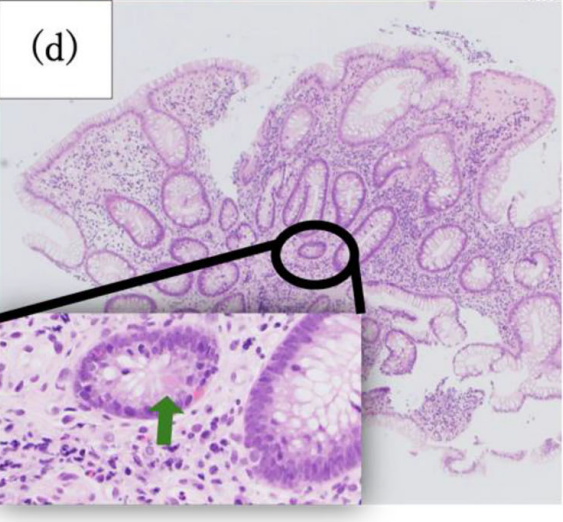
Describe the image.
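This is a fragment of colonic mucosa in which the crypts lie irregularly, varying in shape and spacing, with some cut obliquely or distorted instead of forming orderly parallel tubes. The lamina propria between them is densely crowded with small dark-purple nuclei of inflammatory cells. The crypts are lined by columnar epithelium with basal nuclei and pale, mucin-filled goblet cells.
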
